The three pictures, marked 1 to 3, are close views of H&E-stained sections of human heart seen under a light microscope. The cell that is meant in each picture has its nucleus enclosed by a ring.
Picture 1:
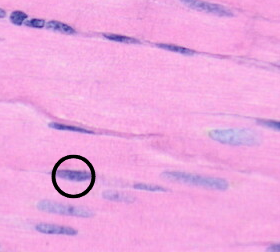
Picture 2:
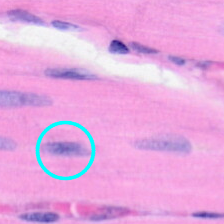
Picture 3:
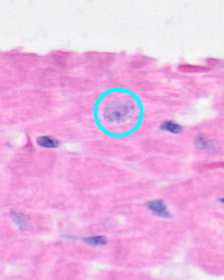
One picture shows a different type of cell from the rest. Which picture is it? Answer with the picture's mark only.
3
